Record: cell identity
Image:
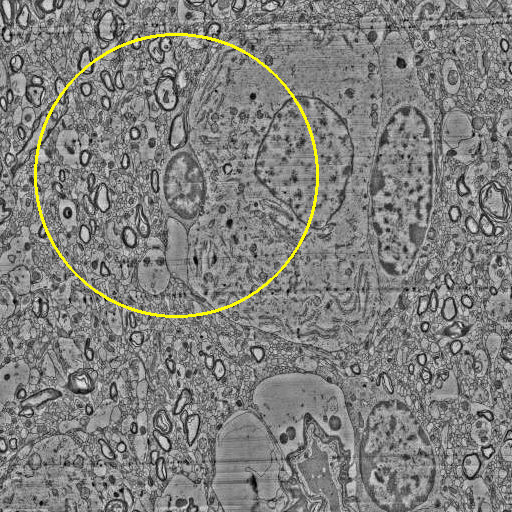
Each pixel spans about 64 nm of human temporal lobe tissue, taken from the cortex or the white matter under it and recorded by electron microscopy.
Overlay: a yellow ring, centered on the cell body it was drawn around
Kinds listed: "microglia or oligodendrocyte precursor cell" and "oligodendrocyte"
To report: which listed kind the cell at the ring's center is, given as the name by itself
oligodendrocyte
